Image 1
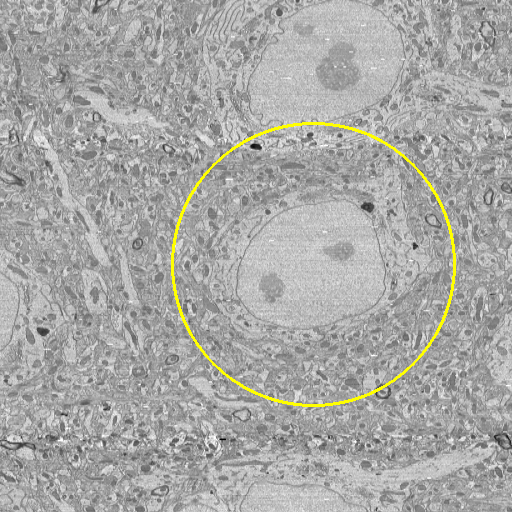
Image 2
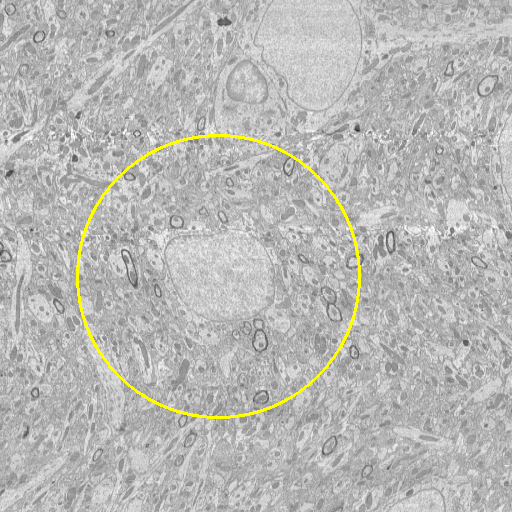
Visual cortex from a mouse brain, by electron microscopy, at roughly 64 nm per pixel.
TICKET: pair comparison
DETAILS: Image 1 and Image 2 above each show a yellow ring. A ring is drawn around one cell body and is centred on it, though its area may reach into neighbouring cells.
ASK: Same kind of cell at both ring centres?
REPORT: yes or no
no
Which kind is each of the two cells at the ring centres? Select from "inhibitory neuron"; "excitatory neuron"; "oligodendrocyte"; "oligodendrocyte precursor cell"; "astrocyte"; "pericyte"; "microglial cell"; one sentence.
The cell at the centre of the ring is an excitatory neuron in the first picture and an astrocyte in the second.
